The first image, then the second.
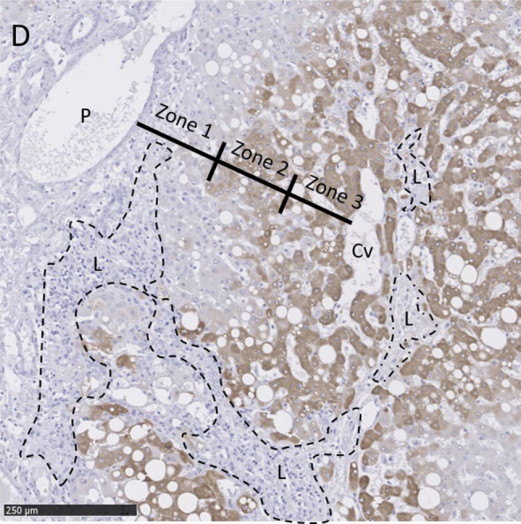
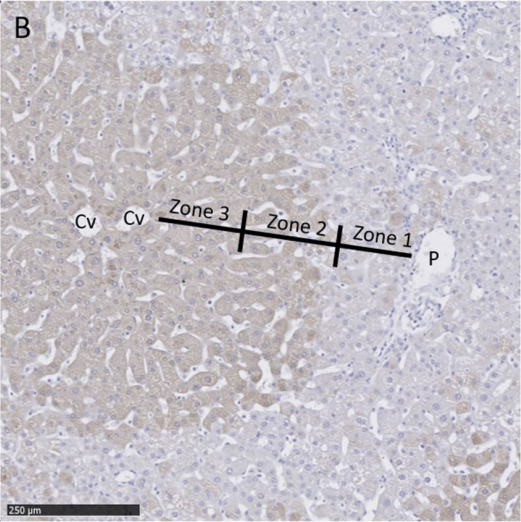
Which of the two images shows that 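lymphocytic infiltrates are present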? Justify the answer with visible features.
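Second image: the parenchyma consists of continuous plates of liver cells with no dense clusters of small dark nuclei. First image: dense areas of small round dark nuclei without brown stain replace liver cells between the stained plates. On this evidence: the first image.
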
